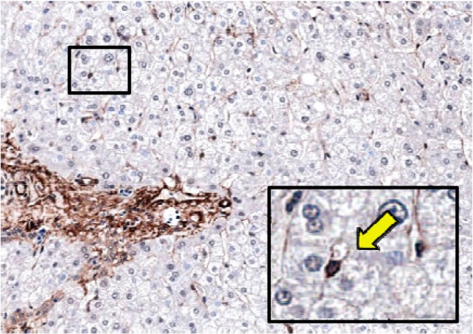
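Liver tissue of pale hepatocytes with round blue nuclei arranged in plates, with a strongly brown-stained fibrous area at the lower left. Thin brown-stained cells lie scattered along the narrow spaces between hepatocyte plates, and an enlarged inset shows one such small cell with a dark nucleus and slender extensions.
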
